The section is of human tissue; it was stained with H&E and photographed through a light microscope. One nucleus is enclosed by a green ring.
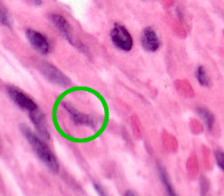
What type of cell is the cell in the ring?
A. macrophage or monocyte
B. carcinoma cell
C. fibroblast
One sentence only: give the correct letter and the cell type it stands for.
The correct identification, the cell in the ring as a fibroblast, is given by option C.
